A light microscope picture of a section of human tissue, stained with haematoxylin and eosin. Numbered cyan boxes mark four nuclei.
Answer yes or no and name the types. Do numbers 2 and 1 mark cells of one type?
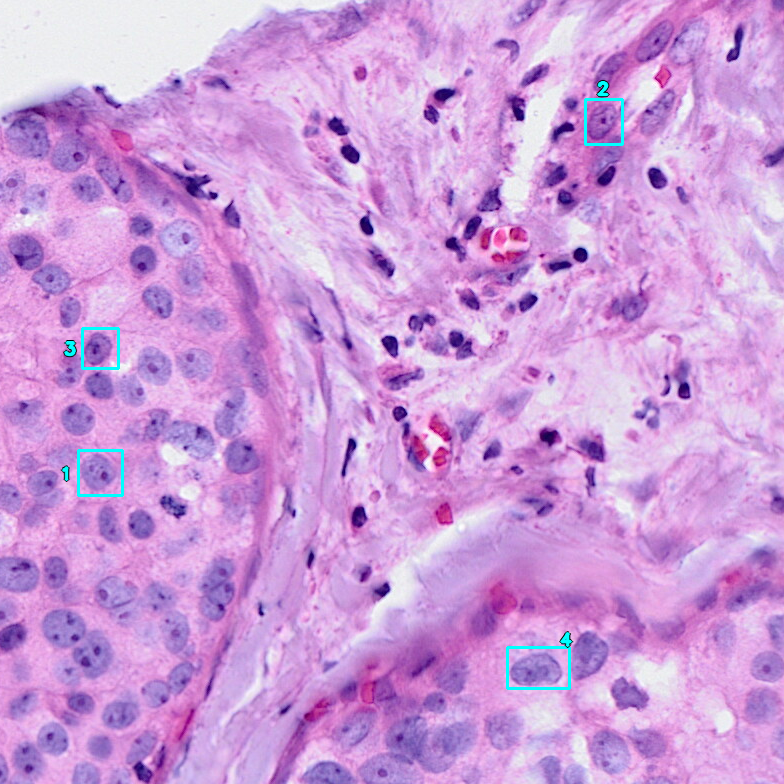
No, the correct reading has cell 2 as an endothelial cell and cell 1 as a carcinoma cell.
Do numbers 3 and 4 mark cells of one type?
Yes, cells 3 and 4 are both identified as carcinoma cells.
